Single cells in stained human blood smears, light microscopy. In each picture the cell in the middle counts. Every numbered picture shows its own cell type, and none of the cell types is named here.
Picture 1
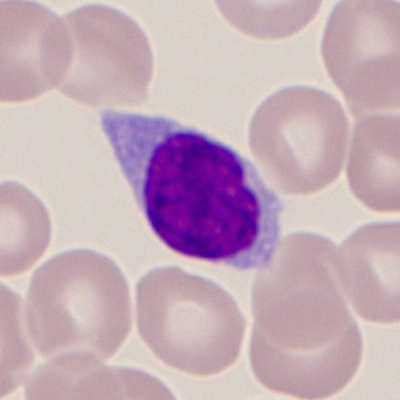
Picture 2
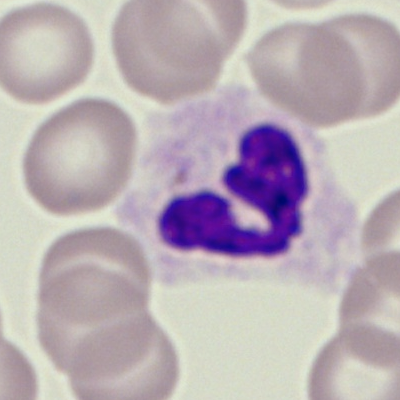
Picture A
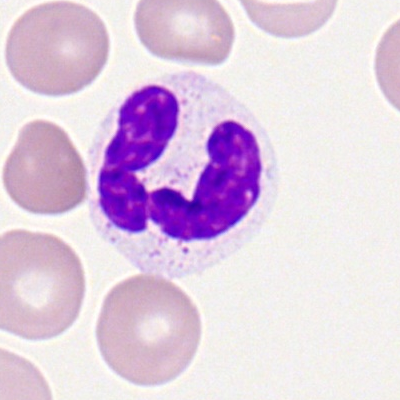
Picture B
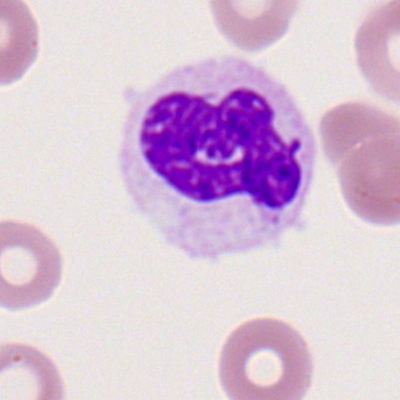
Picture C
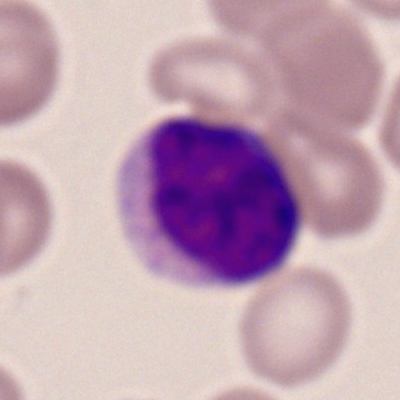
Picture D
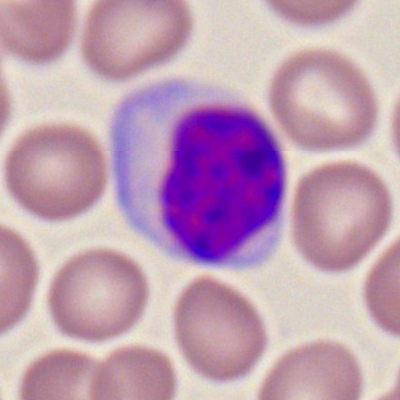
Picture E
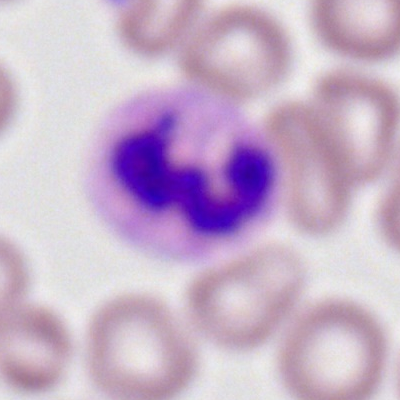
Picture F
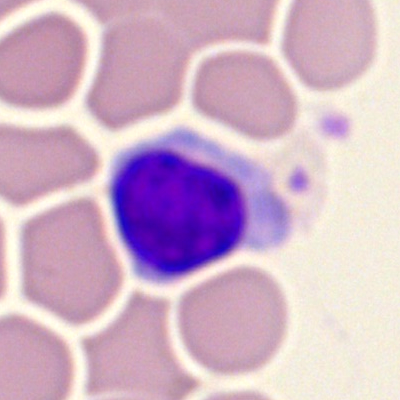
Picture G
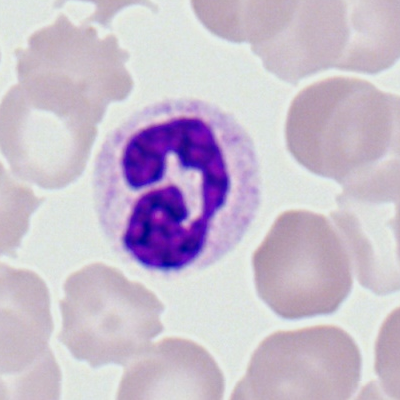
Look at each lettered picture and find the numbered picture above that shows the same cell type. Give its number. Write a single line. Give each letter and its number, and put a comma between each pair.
A 2, B 2, C 1, D 1, E 2, F 1, G 2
